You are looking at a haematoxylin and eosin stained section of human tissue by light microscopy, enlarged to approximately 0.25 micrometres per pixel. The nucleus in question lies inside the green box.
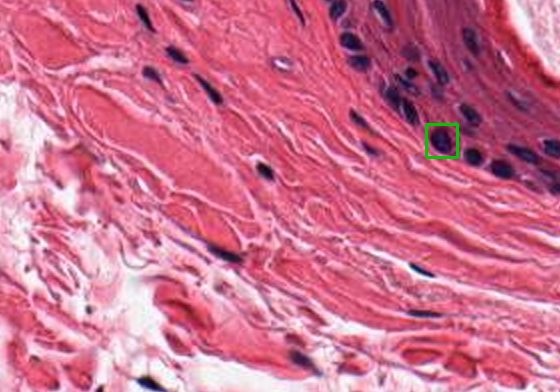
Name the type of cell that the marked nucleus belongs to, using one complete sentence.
The owner of the marked nucleus is a keratinocyte.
